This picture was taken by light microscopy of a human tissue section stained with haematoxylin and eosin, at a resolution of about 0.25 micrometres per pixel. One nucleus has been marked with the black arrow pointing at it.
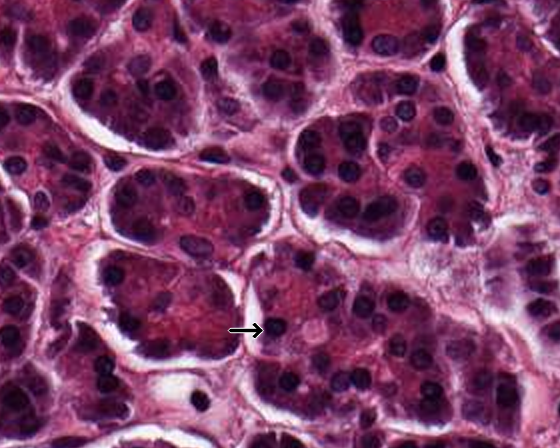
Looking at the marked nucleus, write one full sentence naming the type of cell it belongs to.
The marked nucleus, in this picture, belongs to a pancreatic acinar cell.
